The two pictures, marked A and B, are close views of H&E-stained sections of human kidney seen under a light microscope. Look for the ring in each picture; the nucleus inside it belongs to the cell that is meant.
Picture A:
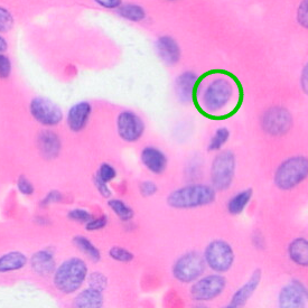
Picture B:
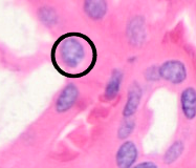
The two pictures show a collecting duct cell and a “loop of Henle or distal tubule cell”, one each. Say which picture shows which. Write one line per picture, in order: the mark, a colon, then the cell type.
A: collecting duct cell
B: loop of Henle or distal tubule cell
